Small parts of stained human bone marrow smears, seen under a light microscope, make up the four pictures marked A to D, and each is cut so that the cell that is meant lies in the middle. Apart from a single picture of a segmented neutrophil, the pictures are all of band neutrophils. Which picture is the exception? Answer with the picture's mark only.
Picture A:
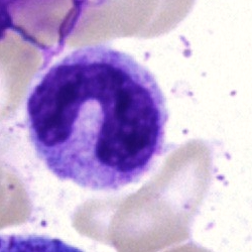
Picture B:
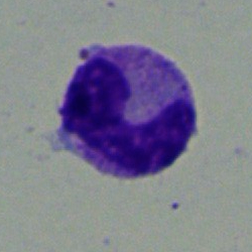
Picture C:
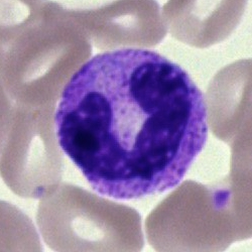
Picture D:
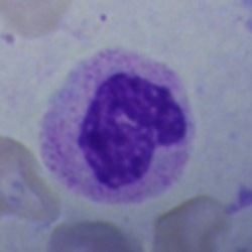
C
